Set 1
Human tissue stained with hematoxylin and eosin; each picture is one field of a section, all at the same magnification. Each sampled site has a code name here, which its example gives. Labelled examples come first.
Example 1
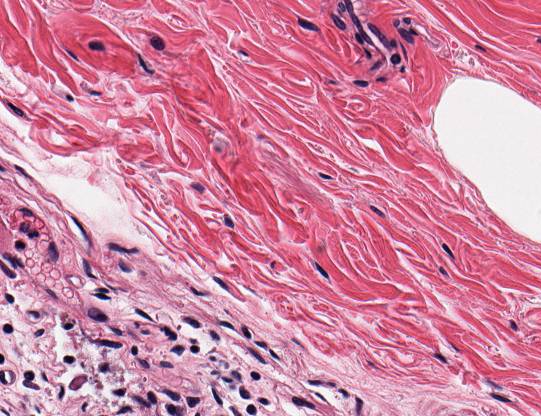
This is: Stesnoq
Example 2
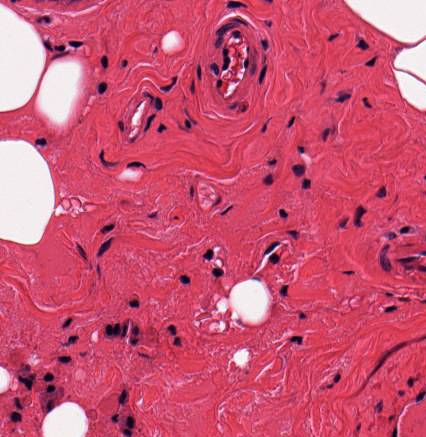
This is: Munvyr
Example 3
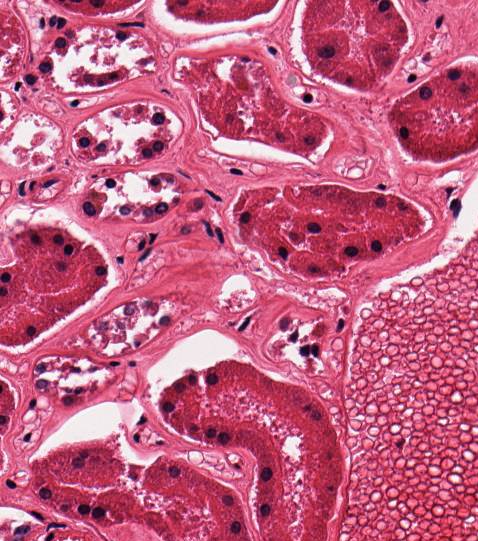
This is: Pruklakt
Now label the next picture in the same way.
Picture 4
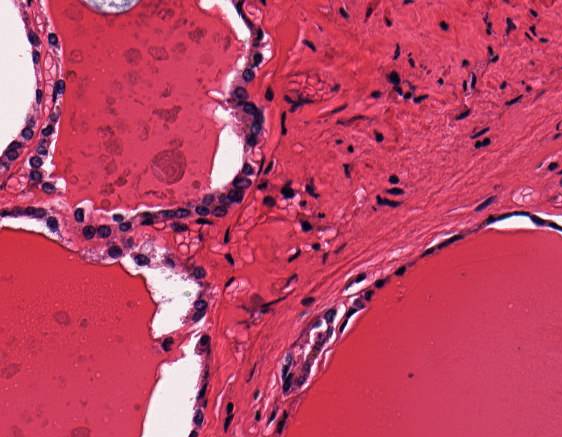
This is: Munvyr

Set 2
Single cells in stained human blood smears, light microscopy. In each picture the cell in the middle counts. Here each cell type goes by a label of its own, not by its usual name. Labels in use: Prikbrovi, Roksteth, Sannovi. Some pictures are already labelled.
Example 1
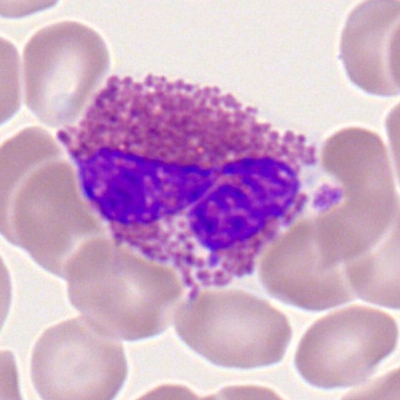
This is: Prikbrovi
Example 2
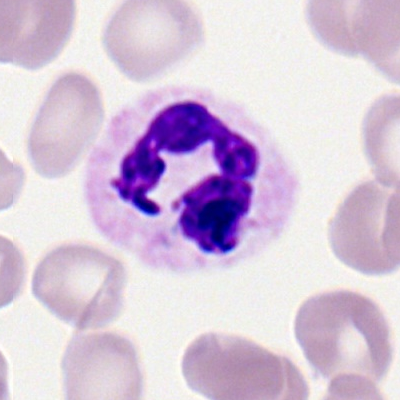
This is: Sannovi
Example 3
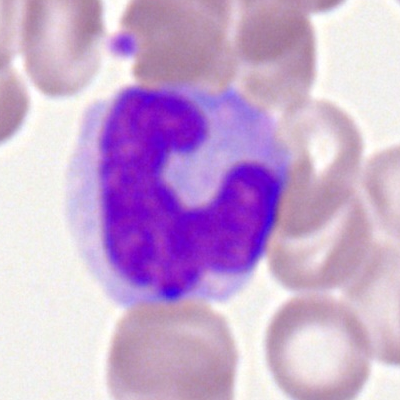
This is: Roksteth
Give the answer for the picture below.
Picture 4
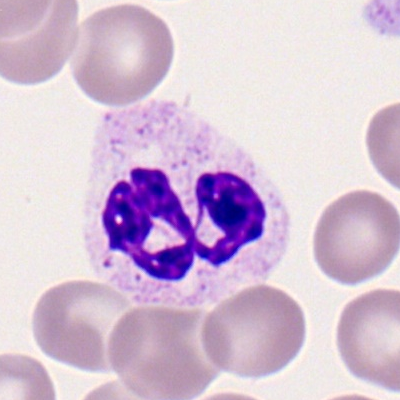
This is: Sannovi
